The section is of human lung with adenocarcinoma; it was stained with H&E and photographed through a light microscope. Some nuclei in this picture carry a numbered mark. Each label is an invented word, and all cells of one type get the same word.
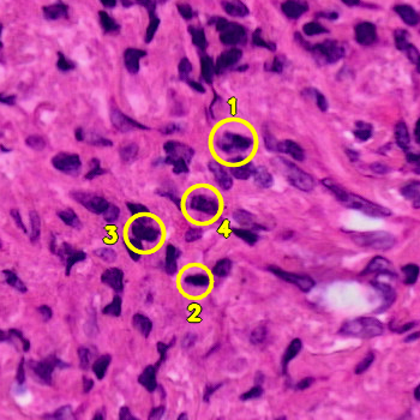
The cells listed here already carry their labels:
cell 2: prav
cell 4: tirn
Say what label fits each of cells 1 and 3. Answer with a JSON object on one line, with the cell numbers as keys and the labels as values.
{"1": "prav", "3": "tirn"}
